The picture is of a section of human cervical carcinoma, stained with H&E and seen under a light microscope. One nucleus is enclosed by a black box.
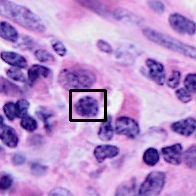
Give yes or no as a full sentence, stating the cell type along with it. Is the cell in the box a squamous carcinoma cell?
No, the cell in the box is not a squamous carcinoma cell, but is instead a lymphocyte.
